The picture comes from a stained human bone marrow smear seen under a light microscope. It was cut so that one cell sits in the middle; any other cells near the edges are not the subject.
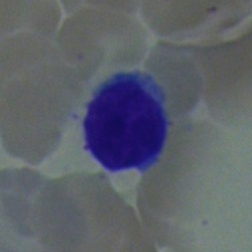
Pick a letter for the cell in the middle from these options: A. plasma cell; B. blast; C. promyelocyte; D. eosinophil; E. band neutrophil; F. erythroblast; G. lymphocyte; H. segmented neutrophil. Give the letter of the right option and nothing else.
G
